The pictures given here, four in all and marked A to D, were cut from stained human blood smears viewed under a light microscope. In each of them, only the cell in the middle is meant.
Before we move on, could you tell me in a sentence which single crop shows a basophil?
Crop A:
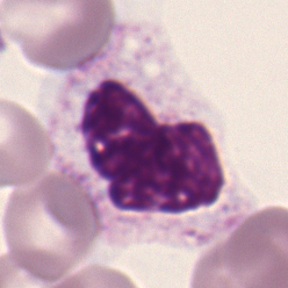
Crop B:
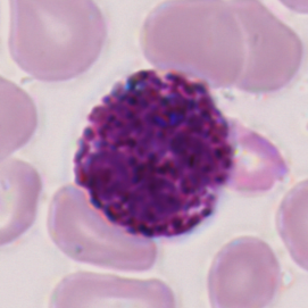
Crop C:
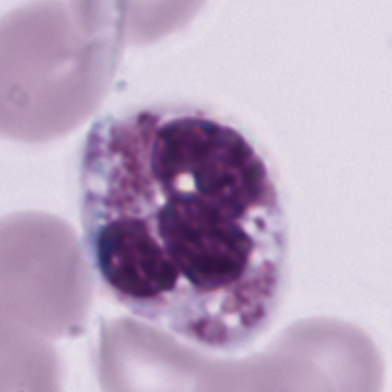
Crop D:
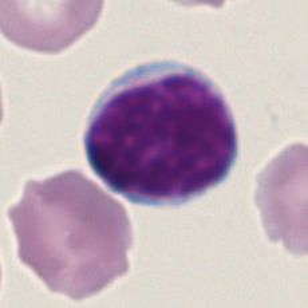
The crop bearing a basophil is crop B.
